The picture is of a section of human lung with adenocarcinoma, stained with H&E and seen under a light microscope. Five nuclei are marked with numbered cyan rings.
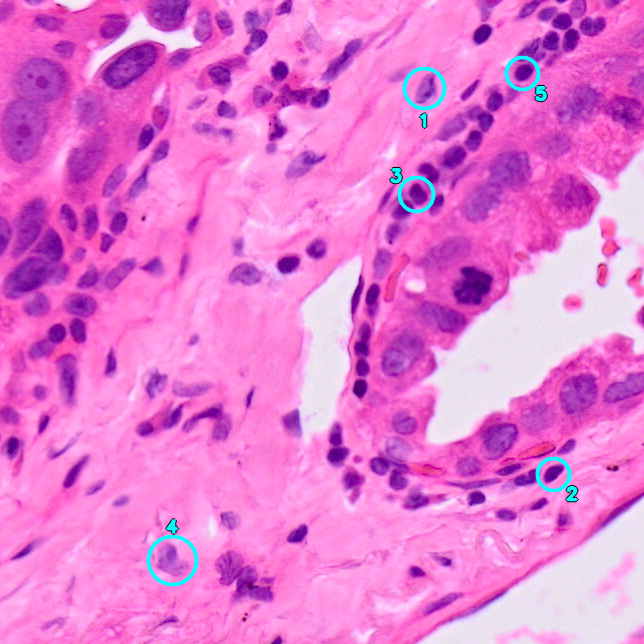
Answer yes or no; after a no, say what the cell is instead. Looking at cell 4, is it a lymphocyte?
No, it is a fibroblast.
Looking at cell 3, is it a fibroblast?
No, it is a lymphocyte.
